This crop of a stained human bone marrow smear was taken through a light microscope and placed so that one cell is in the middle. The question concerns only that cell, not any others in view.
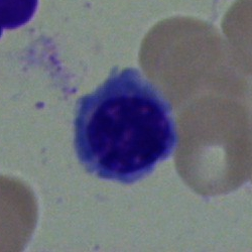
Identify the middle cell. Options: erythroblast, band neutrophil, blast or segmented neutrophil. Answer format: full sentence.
The cell at the centre of the field is an erythroblast.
